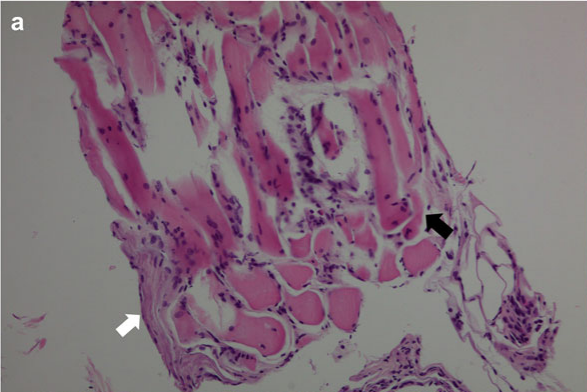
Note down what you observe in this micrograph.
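This section of skeletal muscle shows myofibers of clearly varying size, cut partly lengthwise and partly across, stained pink with small dark peripheral nuclei. The connective tissue between individual fibers and around the fascicle is widened, with wavy pale-pink fibrous strands at the border. A small blood vessel surrounded by nuclei lies within the fascicle.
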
